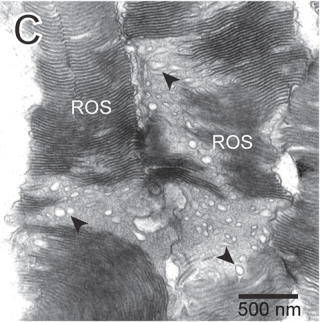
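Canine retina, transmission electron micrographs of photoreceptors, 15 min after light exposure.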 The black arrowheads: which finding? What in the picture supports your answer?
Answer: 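Small round and tubular membrane profiles lie in pale areas between stacks of discs. The regular disc stacks are interrupted where these profiles lie. On this evidence: vesiculo-tubular structures.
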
